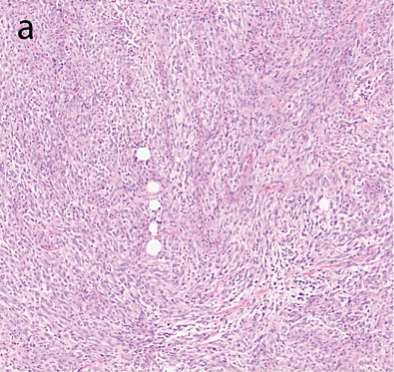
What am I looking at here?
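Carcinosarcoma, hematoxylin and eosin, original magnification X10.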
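This is a cellular tumor of round to spindled cells with dark purple nuclei, arranged in loose, swirling bundles. The cells stream around a central area where thin pink collagen strands run among them. A few round, clear, empty spaces near the center are mature fat cells caught within the tumor.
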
